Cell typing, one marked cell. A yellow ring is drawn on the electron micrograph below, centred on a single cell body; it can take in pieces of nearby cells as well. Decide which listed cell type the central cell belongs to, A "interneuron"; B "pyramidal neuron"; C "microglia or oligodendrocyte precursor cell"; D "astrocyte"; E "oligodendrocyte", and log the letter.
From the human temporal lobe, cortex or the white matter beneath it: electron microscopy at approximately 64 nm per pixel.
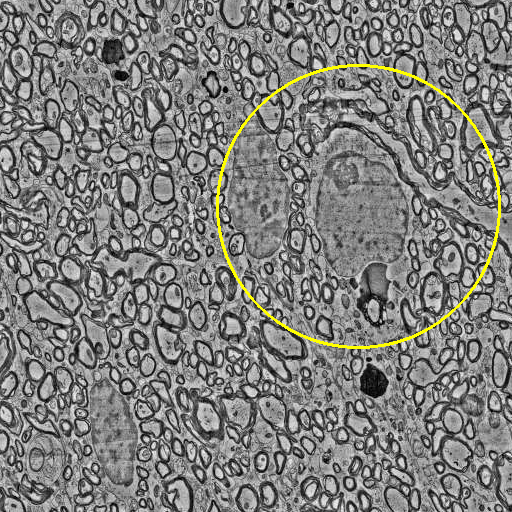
D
